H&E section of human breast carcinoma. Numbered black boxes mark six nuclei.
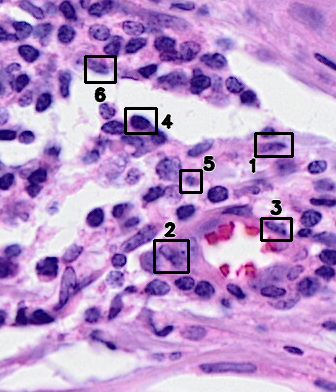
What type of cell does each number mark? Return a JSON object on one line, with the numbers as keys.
{"1": "lymphocyte", "2": "endothelial cell", "3": "endothelial cell", "4": "lymphocyte", "5": "lymphocyte", "6": "lymphocyte"}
